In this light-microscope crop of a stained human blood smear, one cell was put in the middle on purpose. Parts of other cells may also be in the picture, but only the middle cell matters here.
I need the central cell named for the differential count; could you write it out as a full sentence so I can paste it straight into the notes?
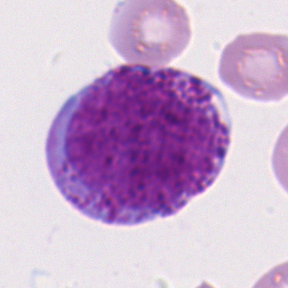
The cell sitting right in the middle is a promyelocyte.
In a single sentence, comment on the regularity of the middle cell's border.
No projections interrupt the outline; it is smooth all the way round.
